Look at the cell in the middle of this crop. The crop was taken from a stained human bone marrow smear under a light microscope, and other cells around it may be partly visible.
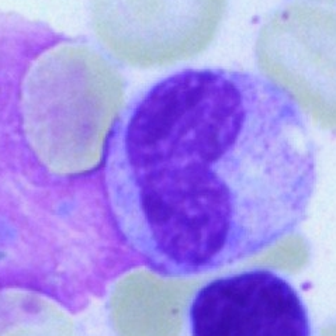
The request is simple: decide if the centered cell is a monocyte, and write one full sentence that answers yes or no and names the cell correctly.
No, the centre of the crop contains a band neutrophil rather than a monocyte.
